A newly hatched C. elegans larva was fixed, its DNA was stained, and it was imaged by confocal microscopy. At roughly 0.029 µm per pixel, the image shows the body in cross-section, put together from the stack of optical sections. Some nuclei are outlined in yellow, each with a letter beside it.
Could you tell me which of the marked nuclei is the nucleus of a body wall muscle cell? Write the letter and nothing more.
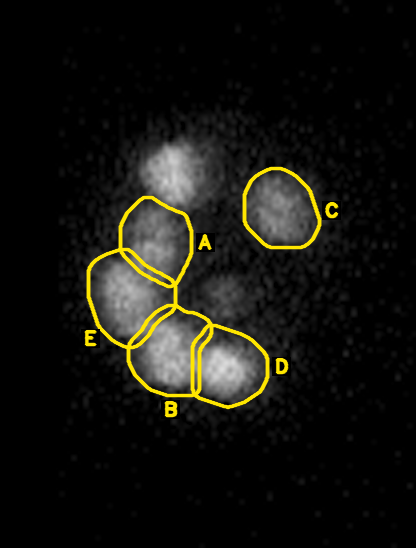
B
